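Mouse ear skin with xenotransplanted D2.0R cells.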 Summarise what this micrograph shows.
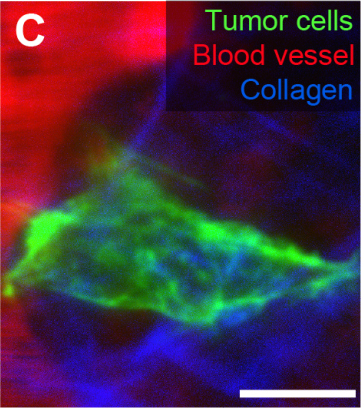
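At higher magnification a single green tumor cell lies on a bed of blue fibers, beside a broad red blood vessel at the upper left. The cell is polygonal to spindle-shaped, with a broad body tapering to pointed ends. Its green fluorescence is uneven, brighter at the edges and in fine strands within the cell. Blue fibers run diagonally beneath and around it.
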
